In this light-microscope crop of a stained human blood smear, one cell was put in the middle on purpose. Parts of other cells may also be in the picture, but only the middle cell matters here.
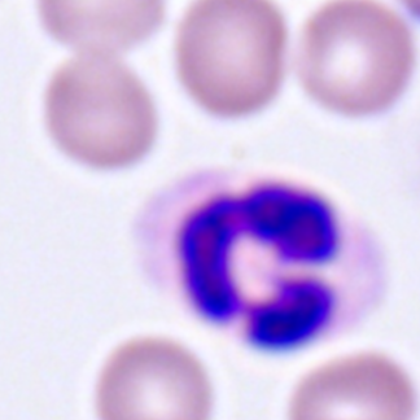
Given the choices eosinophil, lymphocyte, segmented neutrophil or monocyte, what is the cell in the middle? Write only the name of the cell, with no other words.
segmented neutrophil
